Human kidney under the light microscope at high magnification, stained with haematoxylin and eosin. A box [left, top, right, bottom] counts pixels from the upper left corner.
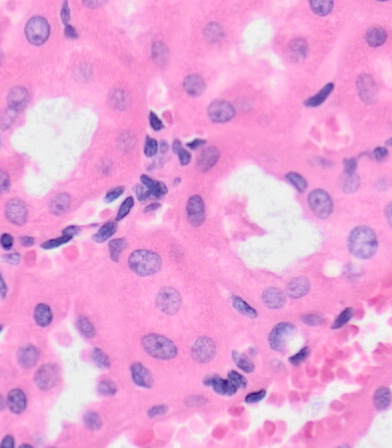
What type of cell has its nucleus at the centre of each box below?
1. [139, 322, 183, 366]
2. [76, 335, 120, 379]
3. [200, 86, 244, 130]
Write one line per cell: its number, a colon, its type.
1: proximal tubule cell
2: loop of Henle or distal tubule cell
3: proximal tubule cell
